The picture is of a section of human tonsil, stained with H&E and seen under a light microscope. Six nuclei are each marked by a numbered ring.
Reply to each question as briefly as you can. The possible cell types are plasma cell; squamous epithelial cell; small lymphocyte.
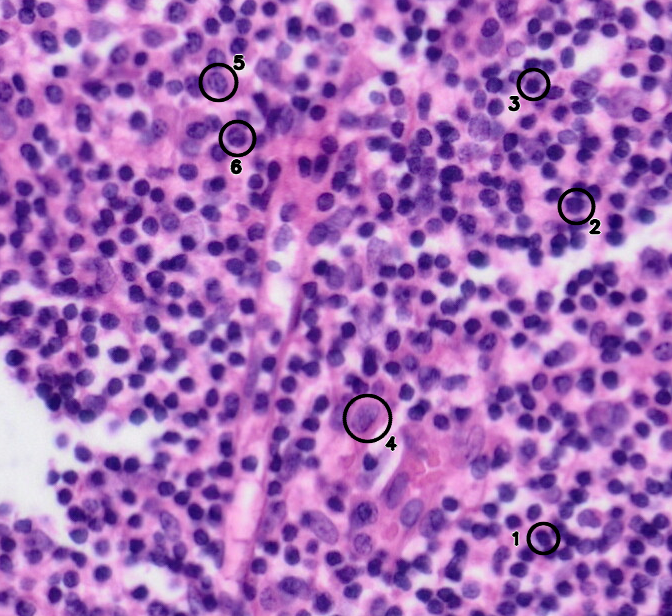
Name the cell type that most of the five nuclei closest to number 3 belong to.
small lymphocyte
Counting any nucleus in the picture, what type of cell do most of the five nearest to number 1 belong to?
small lymphocyte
